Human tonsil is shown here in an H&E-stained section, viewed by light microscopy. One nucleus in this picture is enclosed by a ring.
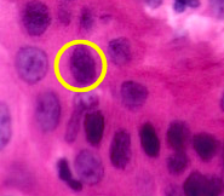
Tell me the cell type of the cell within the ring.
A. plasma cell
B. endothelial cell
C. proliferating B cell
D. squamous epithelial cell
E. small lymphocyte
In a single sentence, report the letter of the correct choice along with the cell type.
It is as option D has it, the cell within the ring being a squamous epithelial cell.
